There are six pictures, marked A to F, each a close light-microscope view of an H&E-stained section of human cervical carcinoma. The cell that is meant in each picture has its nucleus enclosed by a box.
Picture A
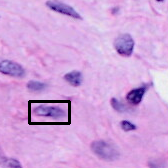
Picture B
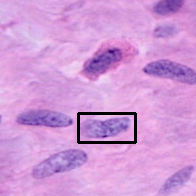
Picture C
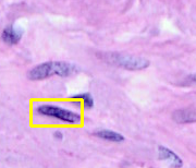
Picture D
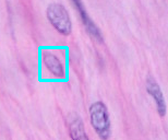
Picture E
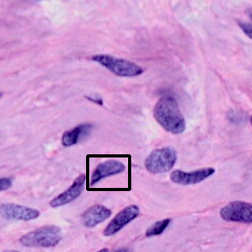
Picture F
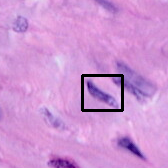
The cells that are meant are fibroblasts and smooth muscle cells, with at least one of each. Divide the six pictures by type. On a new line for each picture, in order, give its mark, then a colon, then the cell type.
A: smooth muscle cell
B: fibroblast
C: fibroblast
D: smooth muscle cell
E: fibroblast
F: fibroblast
